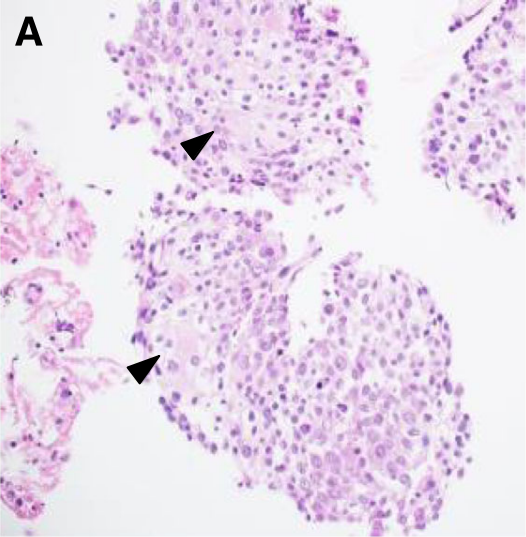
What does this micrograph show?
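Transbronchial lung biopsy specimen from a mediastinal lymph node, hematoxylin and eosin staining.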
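Several small fragments of tissue are made up of solid, cohesive sheets of polygonal tumor cells with enlarged, round to oval nuclei and pale pink cytoplasm. Many nuclei show distinct nucleoli and the cells vary somewhat in size, without forming glands or other organized patterns. Here and there, small zones of denser, glassy pink cytoplasm stand out within the sheets, suggesting the cells are beginning to keratinize. Loose pink material with scattered small cells lies at the left edge, apart from the tumor fragments. Taken together, this looks like undifferentiated cancer cells with only a mild tendency toward cornification.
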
